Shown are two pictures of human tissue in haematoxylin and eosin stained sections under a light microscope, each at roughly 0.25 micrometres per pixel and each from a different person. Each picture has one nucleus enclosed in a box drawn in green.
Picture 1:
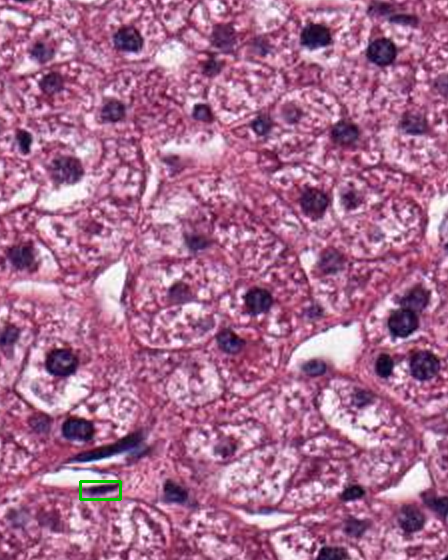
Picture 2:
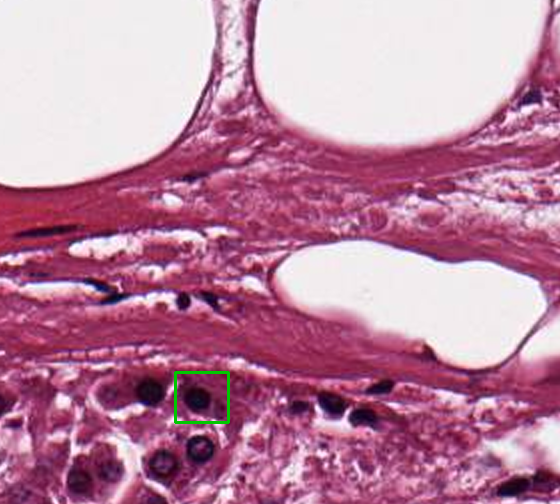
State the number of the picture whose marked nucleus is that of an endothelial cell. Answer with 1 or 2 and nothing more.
1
